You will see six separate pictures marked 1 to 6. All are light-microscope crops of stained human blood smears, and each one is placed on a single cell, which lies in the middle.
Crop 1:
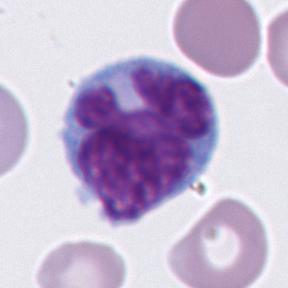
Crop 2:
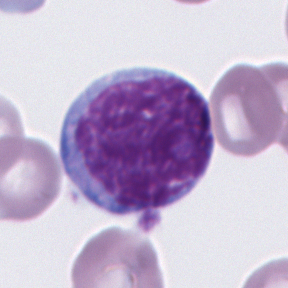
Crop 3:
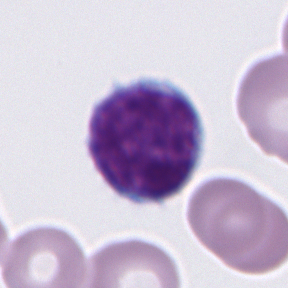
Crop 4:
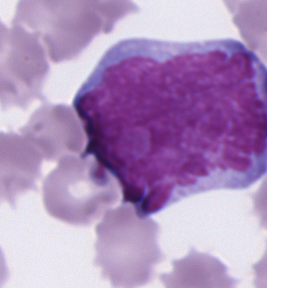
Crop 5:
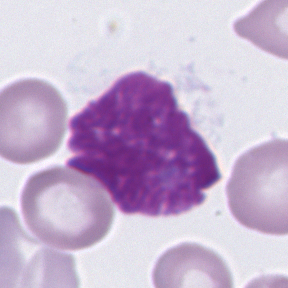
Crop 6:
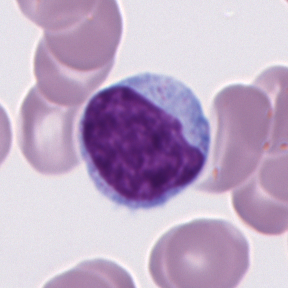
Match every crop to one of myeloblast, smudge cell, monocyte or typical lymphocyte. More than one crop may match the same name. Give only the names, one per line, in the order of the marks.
monocyte
myeloblast
typical lymphocyte
myeloblast
smudge cell
typical lymphocyte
